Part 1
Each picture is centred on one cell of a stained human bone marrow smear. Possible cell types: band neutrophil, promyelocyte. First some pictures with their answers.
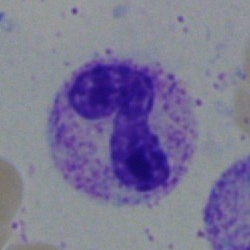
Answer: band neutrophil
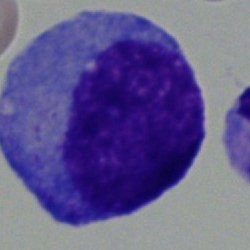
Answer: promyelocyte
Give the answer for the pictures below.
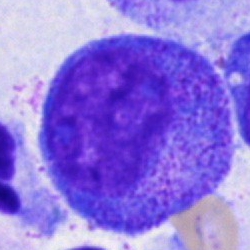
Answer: promyelocyte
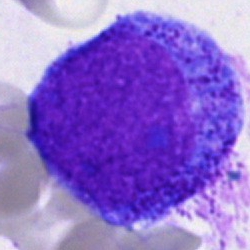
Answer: promyelocyte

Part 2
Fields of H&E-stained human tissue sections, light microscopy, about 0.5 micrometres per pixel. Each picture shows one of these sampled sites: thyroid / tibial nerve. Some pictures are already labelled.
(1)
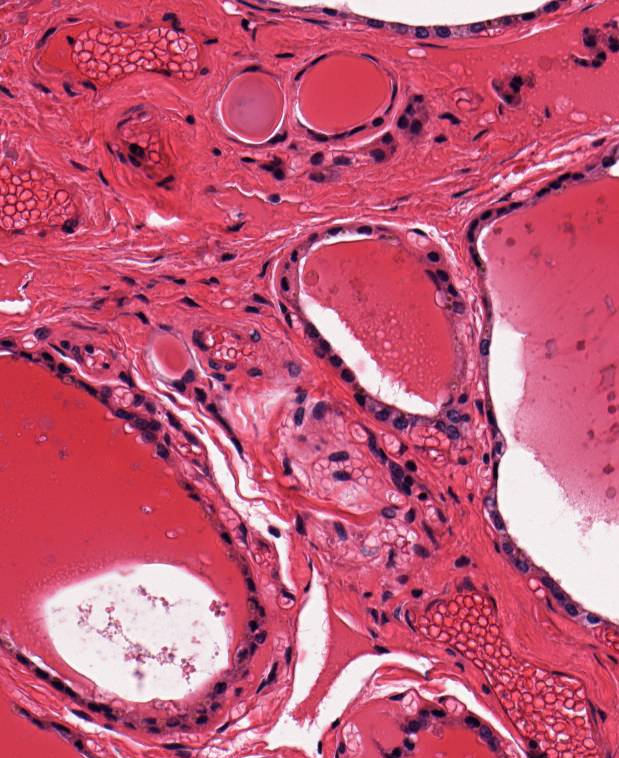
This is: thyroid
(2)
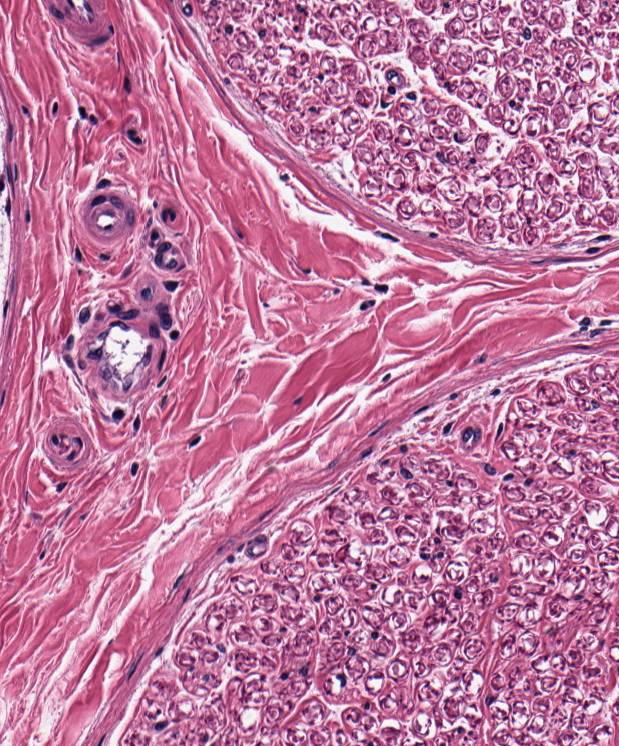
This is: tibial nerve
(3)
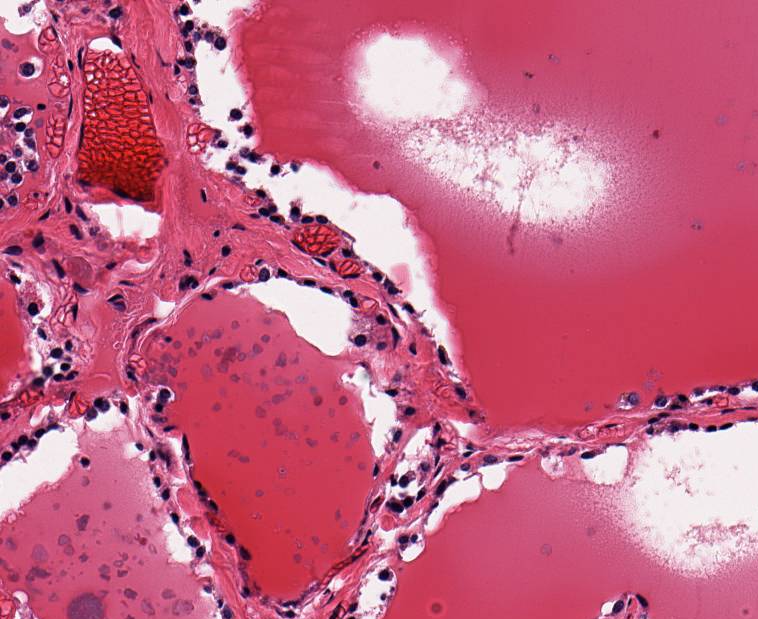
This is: thyroid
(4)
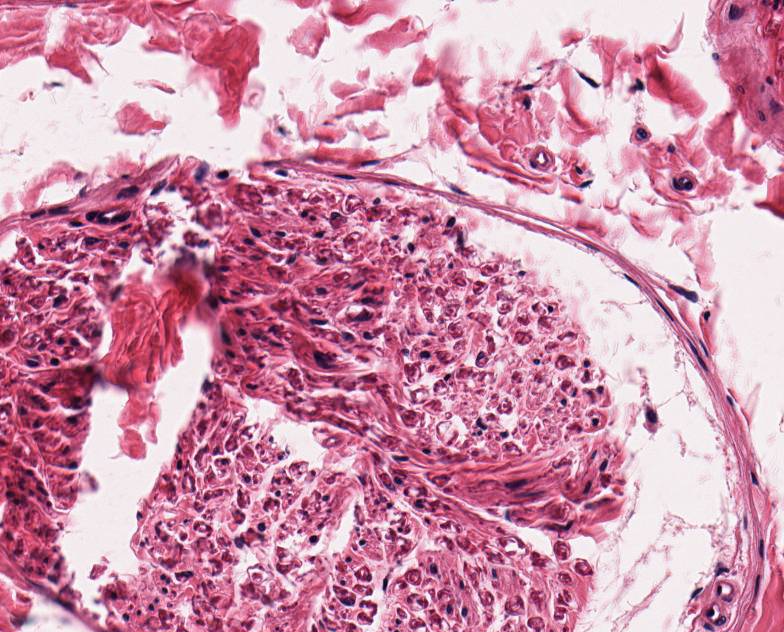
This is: tibial nerve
